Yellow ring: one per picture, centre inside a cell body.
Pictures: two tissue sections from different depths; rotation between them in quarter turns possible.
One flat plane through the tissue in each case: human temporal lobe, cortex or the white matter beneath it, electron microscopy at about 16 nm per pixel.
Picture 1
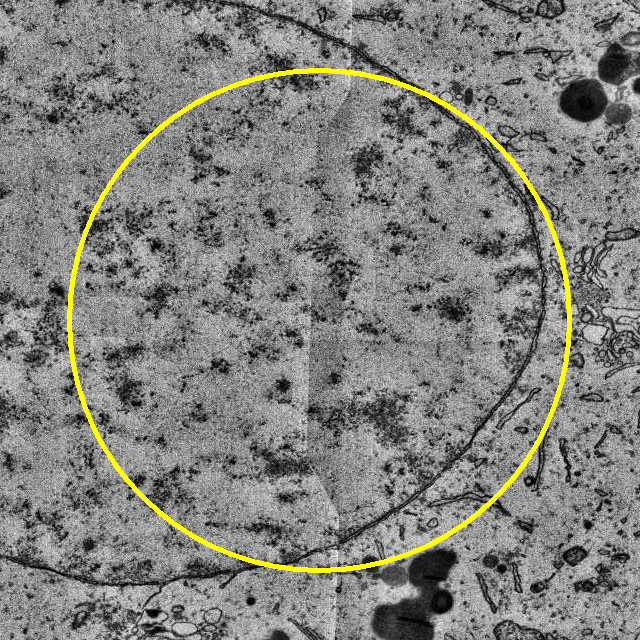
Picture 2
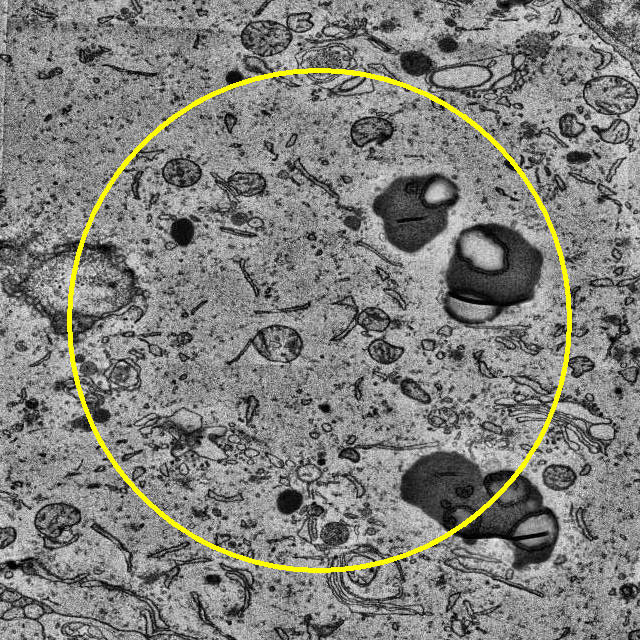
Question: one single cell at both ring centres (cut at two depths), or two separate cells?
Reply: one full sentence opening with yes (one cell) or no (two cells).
Yes, each ring singles out the same cell.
